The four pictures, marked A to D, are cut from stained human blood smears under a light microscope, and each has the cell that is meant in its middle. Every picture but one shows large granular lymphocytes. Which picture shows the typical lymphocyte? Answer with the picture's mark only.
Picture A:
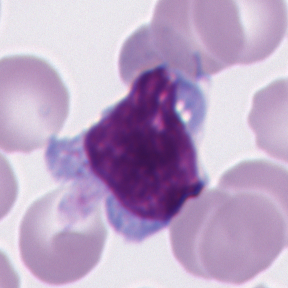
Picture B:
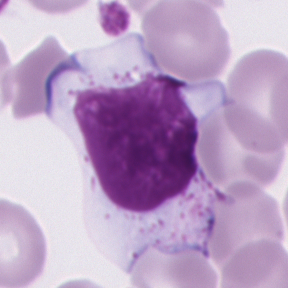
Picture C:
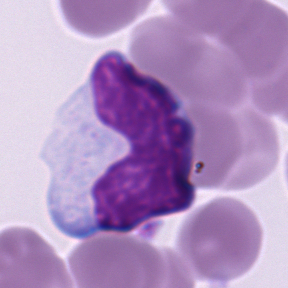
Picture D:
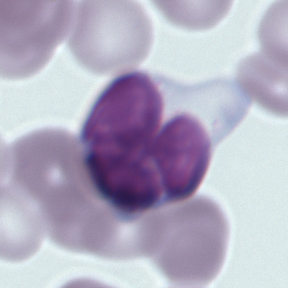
A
